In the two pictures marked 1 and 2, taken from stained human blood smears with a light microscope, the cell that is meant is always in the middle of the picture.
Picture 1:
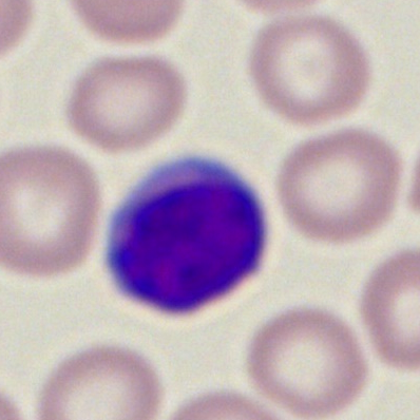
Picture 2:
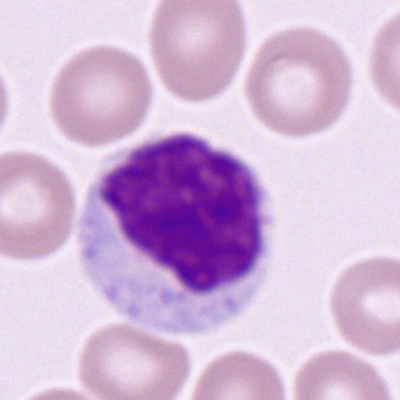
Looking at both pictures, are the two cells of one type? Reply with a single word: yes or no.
yes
